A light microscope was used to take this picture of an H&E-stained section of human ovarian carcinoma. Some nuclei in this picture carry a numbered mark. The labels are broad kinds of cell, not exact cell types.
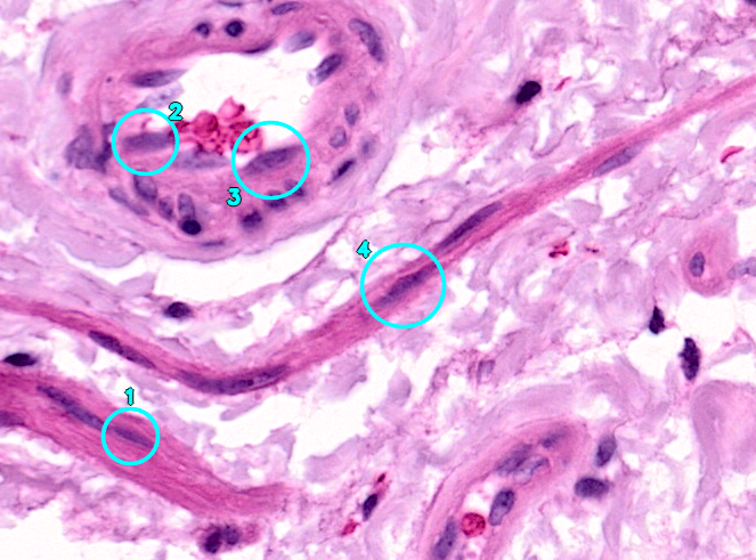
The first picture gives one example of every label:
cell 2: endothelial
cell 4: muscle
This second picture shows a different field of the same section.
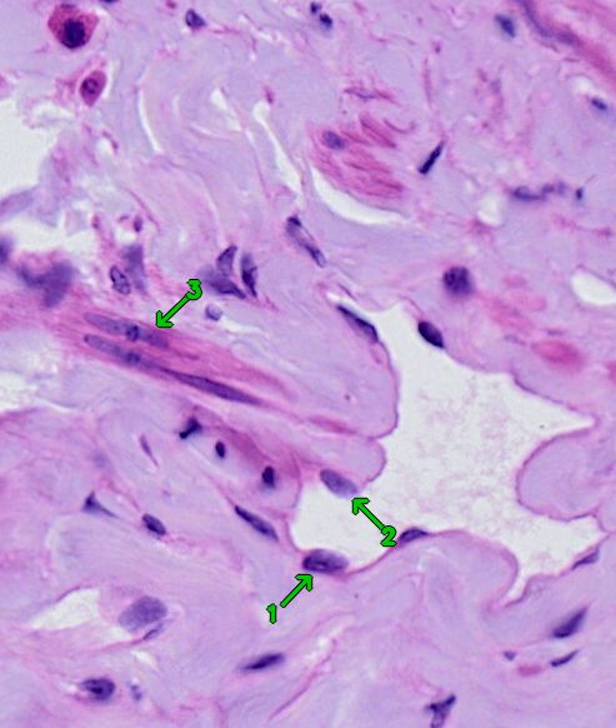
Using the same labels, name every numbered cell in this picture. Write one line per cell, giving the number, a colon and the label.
1: endothelial
2: endothelial
3: muscle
